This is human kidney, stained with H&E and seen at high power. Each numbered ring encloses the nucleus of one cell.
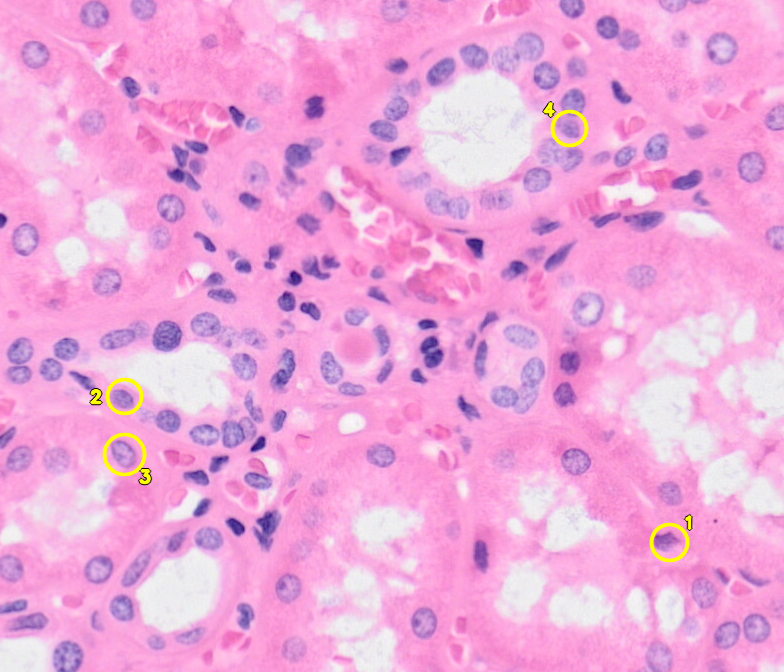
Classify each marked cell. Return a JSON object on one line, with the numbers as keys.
{"1": "proximal tubule cell", "2": "collecting duct cell", "3": "proximal tubule cell", "4": "collecting duct cell"}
